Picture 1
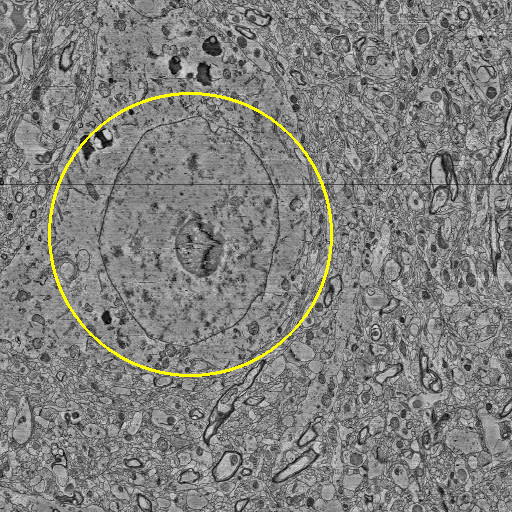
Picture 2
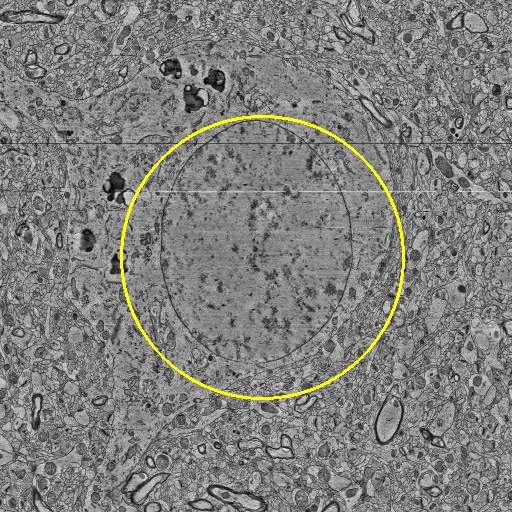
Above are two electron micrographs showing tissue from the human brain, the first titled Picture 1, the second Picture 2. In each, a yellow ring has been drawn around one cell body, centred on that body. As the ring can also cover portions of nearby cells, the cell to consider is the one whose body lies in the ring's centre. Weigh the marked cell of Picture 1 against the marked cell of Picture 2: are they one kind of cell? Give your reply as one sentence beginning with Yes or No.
Yes, the two cells sitting at the ring centres in the pictures are of one kind.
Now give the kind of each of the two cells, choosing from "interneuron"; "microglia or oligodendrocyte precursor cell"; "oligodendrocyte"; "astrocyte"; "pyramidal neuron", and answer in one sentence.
Both pictures show a pyramidal neuron at the centre of the ring.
